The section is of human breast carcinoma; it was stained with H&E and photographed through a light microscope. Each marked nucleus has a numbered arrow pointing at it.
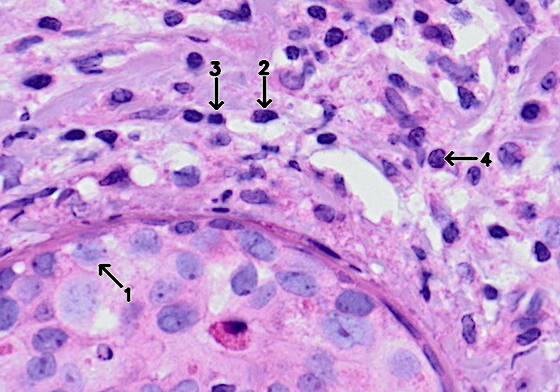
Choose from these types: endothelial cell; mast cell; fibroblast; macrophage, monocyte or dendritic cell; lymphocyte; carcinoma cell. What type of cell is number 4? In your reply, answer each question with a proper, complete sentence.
Among the marked cells, number 4 is a lymphocyte.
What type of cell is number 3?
The cell pointed out as number 3 is a lymphocyte.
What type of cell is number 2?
The cell that bears the number 2 is a lymphocyte.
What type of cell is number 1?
In the tissue shown, cell 1 is a carcinoma cell.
